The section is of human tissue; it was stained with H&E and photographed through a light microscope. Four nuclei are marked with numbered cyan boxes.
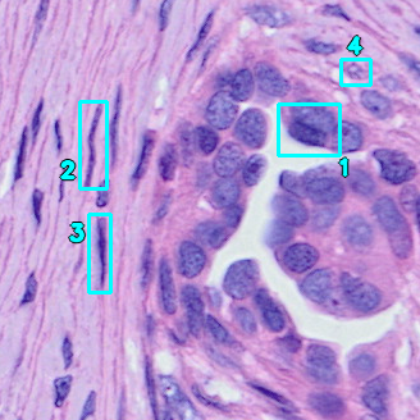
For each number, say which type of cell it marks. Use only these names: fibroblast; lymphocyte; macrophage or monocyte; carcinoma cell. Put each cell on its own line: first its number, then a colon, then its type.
1: carcinoma cell
2: fibroblast
3: fibroblast
4: fibroblast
